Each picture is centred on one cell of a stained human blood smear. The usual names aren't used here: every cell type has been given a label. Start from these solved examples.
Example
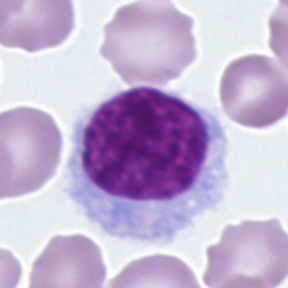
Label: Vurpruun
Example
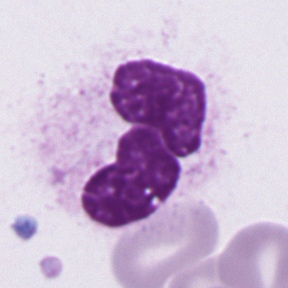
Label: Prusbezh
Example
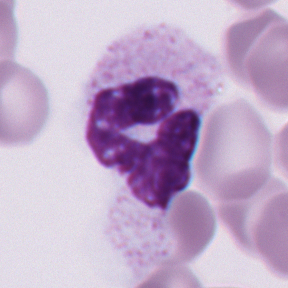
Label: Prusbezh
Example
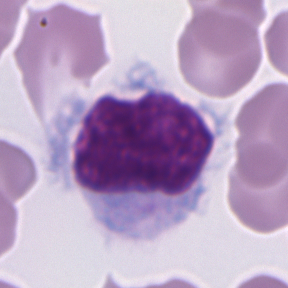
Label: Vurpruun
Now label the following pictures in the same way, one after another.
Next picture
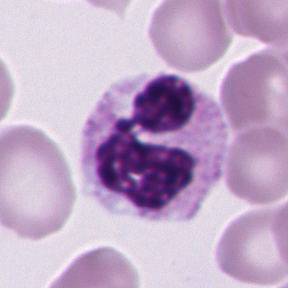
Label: Prusbezh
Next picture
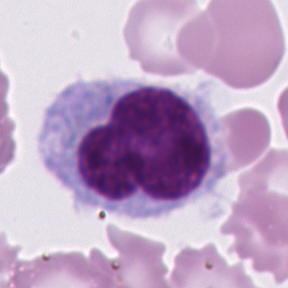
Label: Vurpruun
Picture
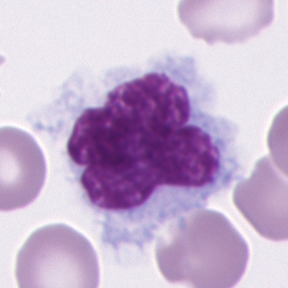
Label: Vurpruun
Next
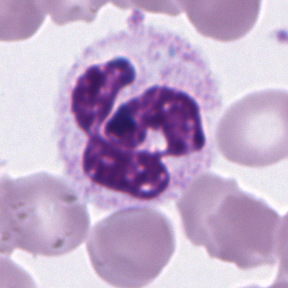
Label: Prusbezh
